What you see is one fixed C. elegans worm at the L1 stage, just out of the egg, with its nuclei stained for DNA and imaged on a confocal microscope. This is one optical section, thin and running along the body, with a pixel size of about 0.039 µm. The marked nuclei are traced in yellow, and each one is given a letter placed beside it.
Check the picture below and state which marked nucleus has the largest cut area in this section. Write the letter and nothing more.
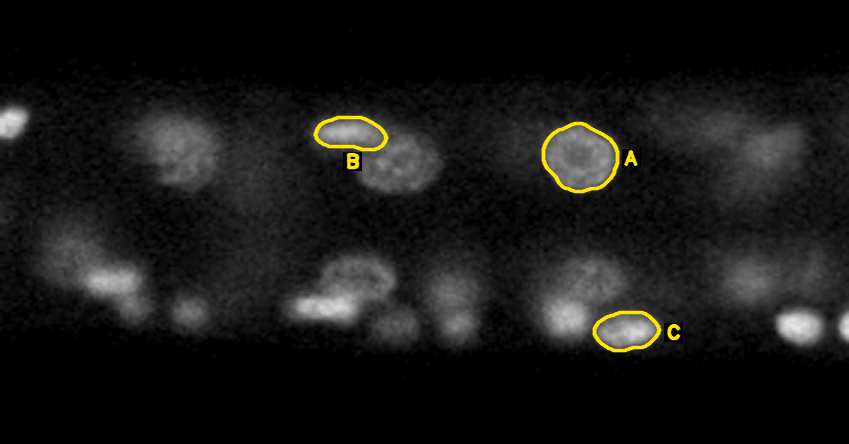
A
